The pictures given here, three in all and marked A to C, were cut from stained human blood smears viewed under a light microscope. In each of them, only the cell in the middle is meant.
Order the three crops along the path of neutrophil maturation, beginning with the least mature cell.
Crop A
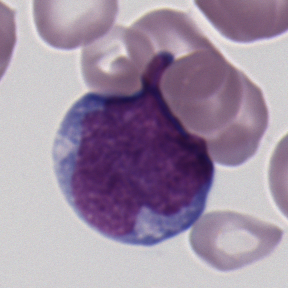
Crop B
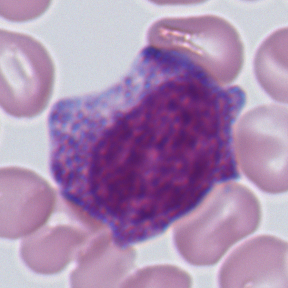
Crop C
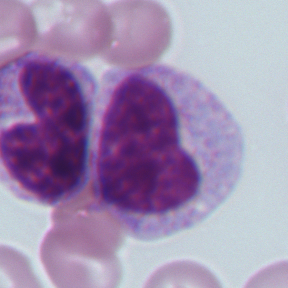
A, B, C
